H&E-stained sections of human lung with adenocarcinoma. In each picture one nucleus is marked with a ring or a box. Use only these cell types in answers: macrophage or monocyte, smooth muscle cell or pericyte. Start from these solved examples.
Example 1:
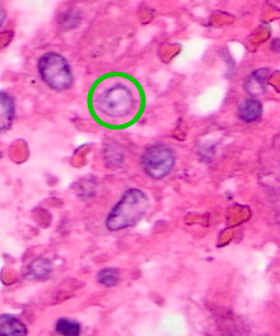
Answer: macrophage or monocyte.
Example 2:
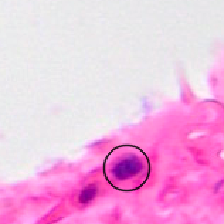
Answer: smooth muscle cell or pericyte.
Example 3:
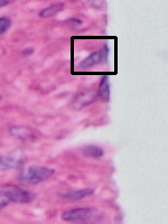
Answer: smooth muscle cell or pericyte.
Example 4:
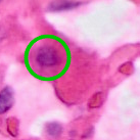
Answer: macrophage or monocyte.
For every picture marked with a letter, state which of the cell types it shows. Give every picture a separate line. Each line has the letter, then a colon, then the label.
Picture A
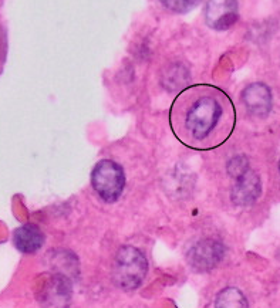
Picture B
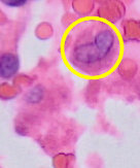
A: macrophage or monocyte.
B: macrophage or monocyte.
